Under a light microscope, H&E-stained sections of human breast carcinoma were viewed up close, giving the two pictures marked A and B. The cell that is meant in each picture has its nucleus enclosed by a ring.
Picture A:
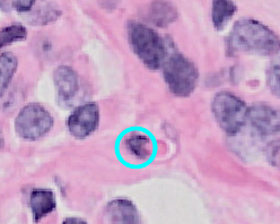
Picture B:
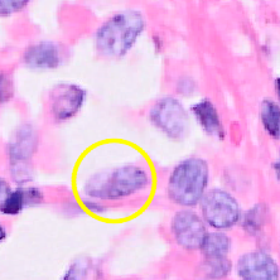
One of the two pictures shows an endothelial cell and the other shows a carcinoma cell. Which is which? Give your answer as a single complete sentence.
Picture B shows a carcinoma cell, while picture A shows an endothelial cell.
